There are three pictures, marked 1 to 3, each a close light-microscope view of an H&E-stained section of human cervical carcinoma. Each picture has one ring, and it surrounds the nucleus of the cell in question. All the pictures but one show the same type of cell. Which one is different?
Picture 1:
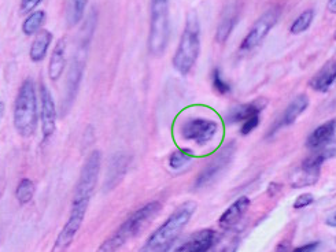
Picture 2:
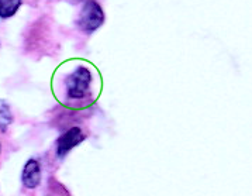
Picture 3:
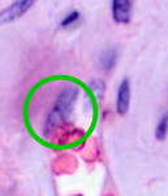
3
